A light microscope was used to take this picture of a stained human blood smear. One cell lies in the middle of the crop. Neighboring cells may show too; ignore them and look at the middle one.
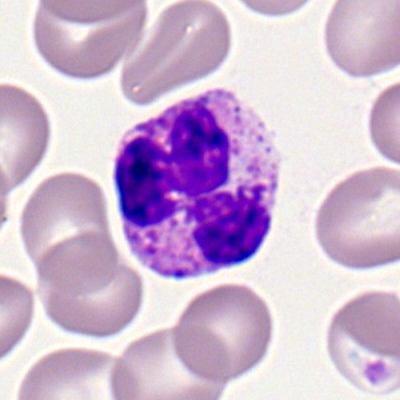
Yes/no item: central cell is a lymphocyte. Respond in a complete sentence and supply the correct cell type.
No, the cell placed at the center is a basophil rather than a lymphocyte.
